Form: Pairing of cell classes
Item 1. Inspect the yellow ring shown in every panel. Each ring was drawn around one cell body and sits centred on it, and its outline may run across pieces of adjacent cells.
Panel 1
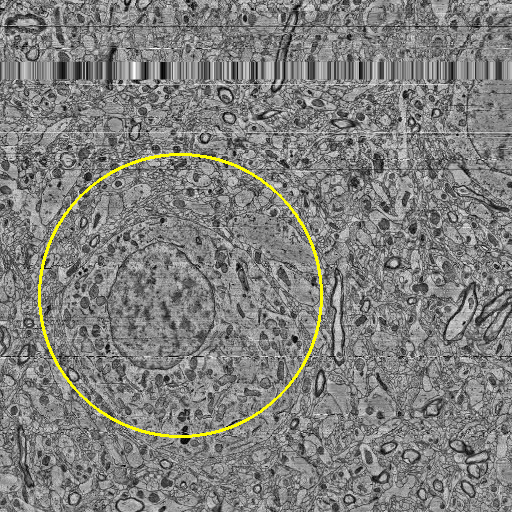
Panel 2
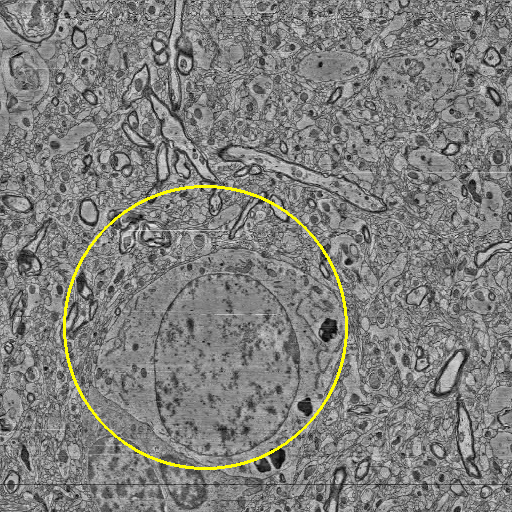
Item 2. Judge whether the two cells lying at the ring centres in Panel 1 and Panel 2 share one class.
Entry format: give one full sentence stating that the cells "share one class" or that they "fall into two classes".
The cells at the ring centres in Panel 1 and Panel 2 fall into two classes.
